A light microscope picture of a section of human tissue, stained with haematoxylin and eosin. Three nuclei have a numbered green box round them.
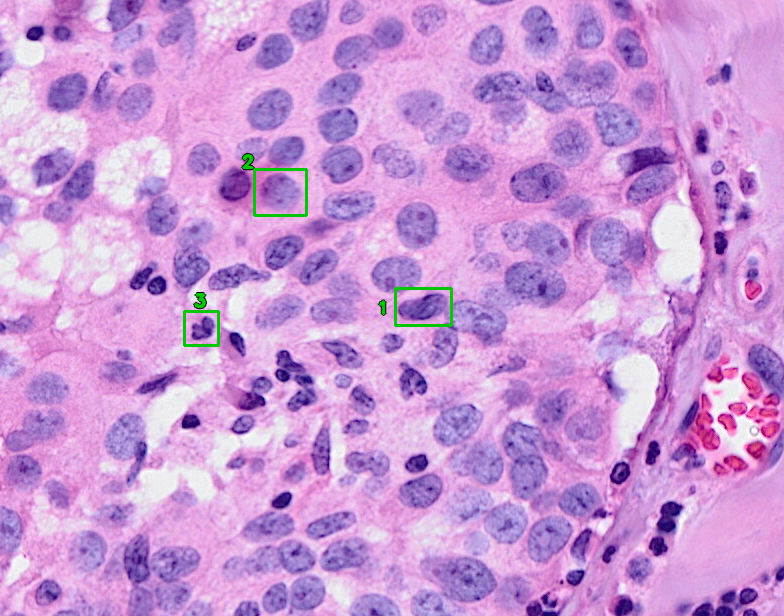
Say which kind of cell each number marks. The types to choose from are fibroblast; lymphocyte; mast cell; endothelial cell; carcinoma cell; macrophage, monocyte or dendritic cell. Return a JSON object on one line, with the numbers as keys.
{"1": "carcinoma cell", "2": "carcinoma cell", "3": "lymphocyte"}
